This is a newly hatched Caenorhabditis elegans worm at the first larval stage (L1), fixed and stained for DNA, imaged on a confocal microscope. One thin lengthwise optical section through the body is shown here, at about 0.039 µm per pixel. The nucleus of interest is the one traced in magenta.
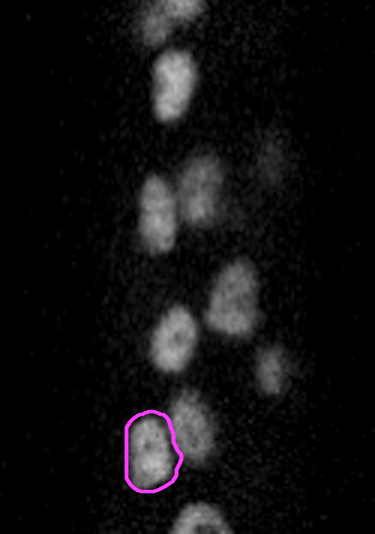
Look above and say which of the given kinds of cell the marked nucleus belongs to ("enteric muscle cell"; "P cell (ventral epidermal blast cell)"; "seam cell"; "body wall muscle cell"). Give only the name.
body wall muscle cell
